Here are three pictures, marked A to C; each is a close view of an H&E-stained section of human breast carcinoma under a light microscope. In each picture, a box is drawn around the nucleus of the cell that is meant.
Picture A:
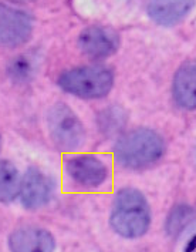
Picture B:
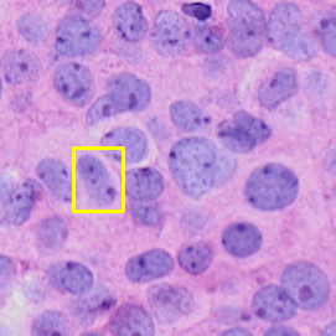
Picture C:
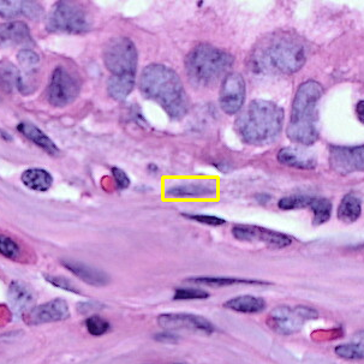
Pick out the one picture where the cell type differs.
C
